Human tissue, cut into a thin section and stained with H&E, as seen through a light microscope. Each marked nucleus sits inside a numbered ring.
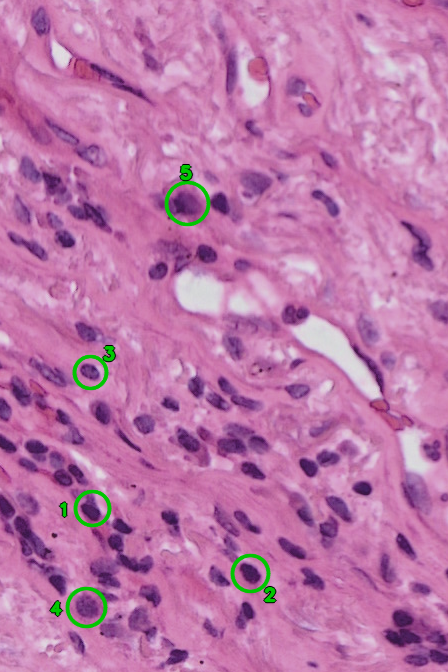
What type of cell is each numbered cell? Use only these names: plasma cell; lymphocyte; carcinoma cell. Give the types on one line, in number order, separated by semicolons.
lymphocyte; lymphocyte; lymphocyte; plasma cell; plasma cell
